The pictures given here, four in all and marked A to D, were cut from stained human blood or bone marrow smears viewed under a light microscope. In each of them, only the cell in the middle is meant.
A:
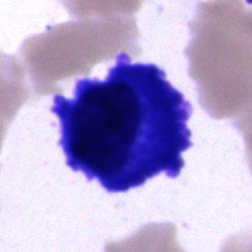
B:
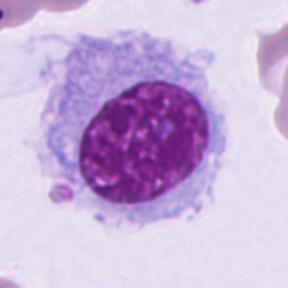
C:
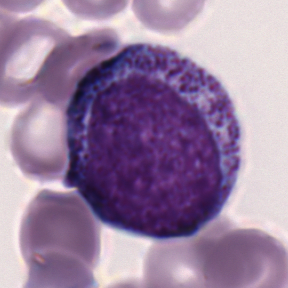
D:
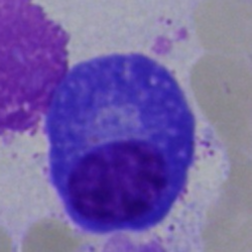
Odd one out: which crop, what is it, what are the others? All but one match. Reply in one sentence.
While crop C shows a promyelocyte, the other crops all show plasma cells.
